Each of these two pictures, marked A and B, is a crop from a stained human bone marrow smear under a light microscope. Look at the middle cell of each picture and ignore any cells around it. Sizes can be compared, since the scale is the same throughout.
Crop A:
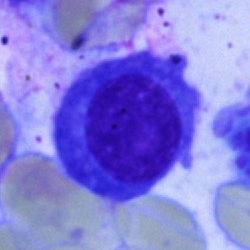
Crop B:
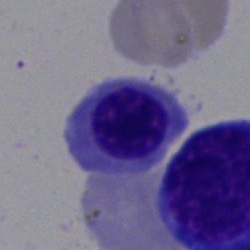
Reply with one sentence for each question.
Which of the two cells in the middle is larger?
It is the cell in crop A, about 2 times as large in area as the cell in crop B.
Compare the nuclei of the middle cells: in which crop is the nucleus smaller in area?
Smaller is the nucleus in crop B, and the other is about 2 times as large in area.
